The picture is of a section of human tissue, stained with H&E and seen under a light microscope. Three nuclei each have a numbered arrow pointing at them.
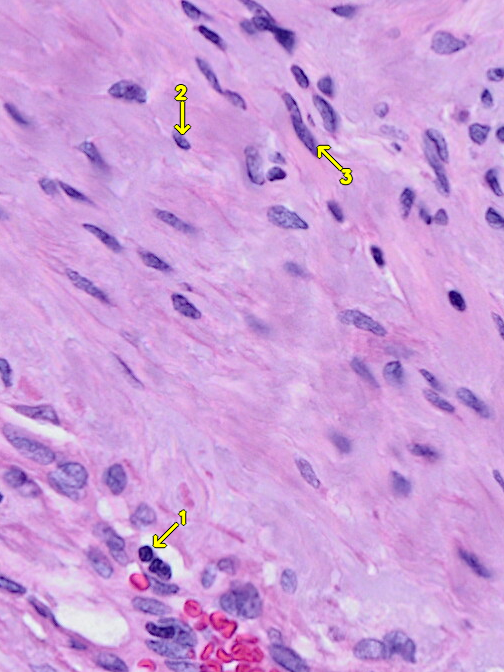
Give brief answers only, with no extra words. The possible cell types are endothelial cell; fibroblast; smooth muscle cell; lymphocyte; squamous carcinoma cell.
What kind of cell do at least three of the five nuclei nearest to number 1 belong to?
endothelial cell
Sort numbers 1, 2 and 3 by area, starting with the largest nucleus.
3, 1, 2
